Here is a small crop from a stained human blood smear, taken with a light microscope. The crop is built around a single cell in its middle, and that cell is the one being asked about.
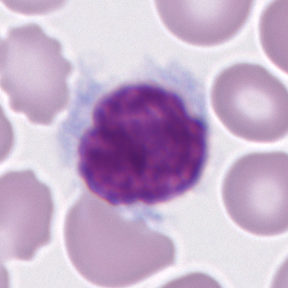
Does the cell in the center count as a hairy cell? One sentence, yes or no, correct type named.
Yes, a hairy cell is present in the middle of the crop.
